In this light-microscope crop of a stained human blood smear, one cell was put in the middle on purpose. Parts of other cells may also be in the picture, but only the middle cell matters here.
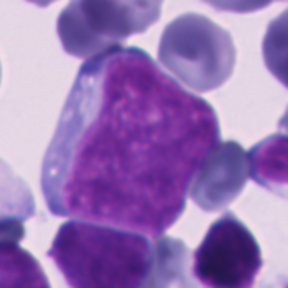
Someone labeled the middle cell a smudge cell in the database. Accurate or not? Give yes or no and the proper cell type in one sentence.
No, the cell at the center of this crop is a myeloblast instead of a smudge cell.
